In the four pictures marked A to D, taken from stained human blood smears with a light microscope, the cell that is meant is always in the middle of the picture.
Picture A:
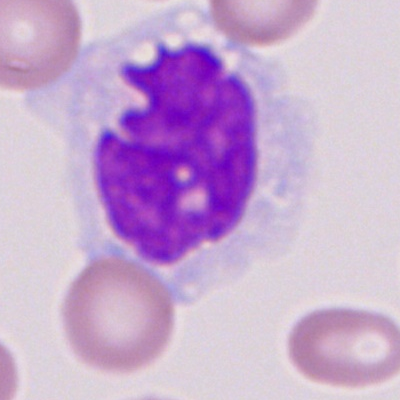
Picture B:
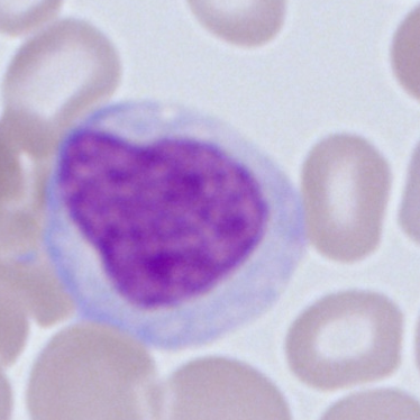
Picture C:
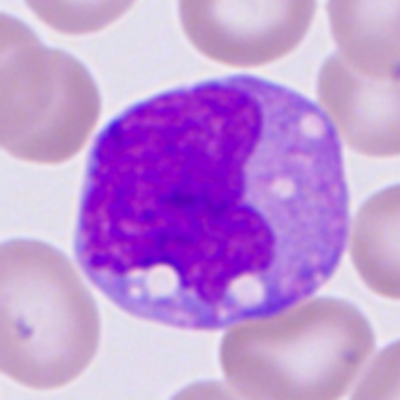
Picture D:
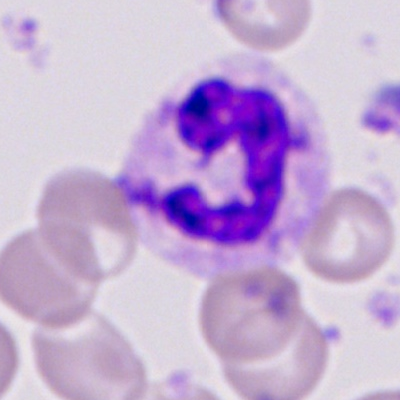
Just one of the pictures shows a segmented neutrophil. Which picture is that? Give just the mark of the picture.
D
